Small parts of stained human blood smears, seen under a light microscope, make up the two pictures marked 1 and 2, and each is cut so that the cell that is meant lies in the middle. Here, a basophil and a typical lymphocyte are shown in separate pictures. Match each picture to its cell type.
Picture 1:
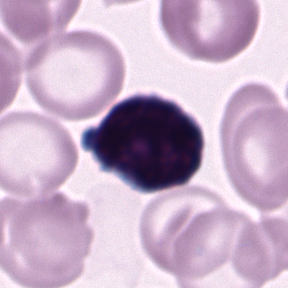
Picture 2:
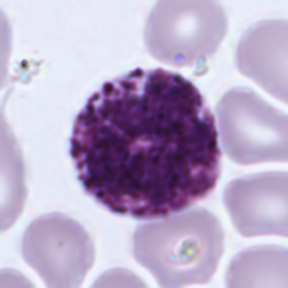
1: typical lymphocyte
2: basophil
